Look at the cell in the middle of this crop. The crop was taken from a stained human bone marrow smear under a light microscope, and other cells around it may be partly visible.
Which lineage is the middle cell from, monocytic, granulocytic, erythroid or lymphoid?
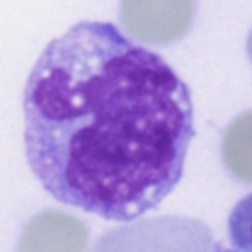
monocytic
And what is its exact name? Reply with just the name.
monocyte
